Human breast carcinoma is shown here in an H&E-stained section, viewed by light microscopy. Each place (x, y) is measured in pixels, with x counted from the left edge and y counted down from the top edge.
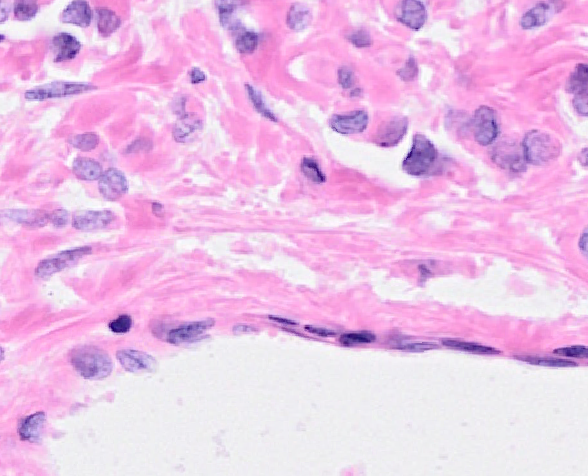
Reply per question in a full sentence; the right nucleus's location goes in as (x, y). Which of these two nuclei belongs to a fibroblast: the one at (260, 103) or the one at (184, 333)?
That would be the nucleus at (260, 103); it belongs to a fibroblast.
